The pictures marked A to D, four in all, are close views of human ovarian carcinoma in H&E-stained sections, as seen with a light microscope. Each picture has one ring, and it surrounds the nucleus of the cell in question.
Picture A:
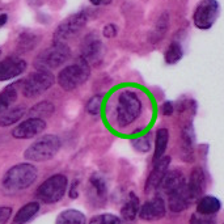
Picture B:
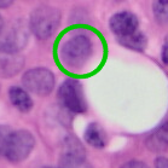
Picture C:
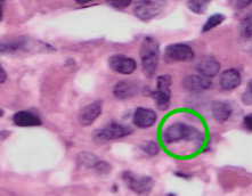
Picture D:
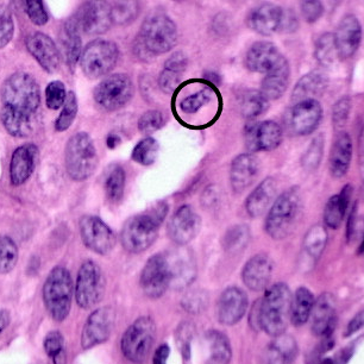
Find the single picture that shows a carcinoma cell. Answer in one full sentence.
Picture B is the one that shows the carcinoma cell.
